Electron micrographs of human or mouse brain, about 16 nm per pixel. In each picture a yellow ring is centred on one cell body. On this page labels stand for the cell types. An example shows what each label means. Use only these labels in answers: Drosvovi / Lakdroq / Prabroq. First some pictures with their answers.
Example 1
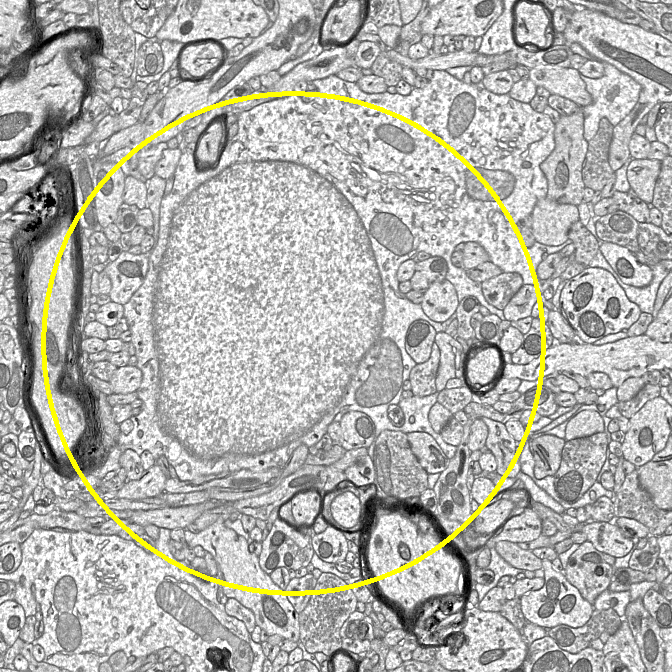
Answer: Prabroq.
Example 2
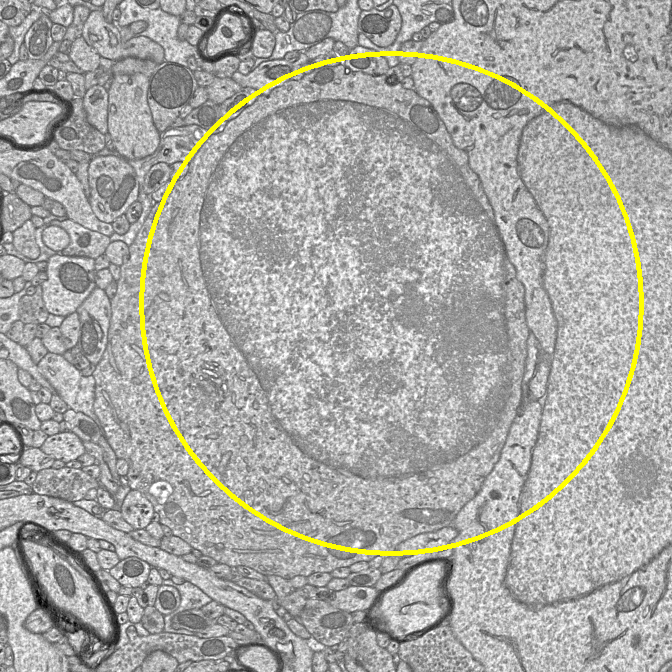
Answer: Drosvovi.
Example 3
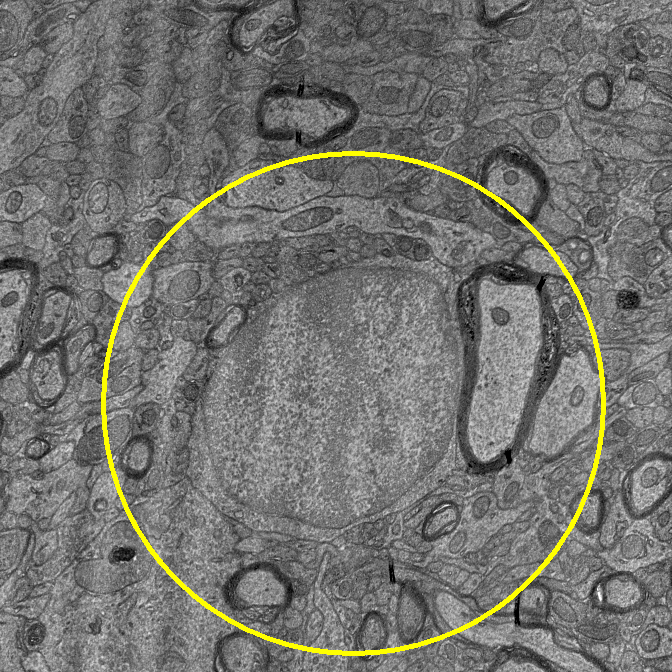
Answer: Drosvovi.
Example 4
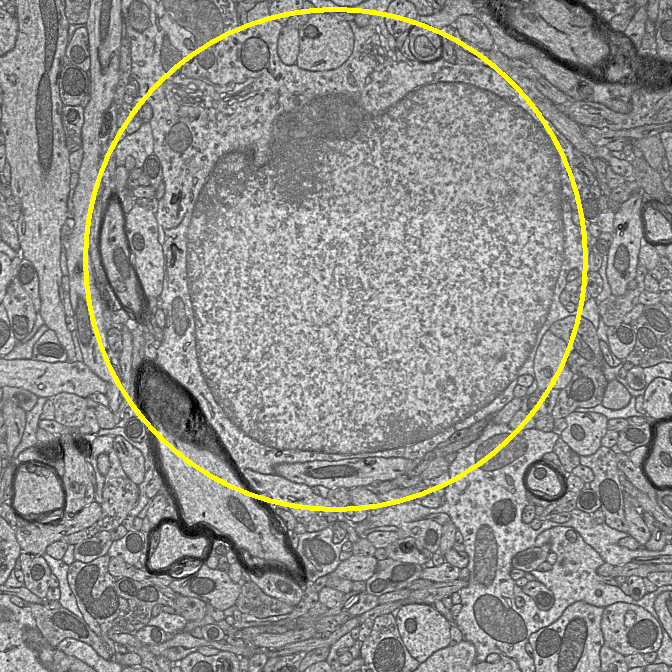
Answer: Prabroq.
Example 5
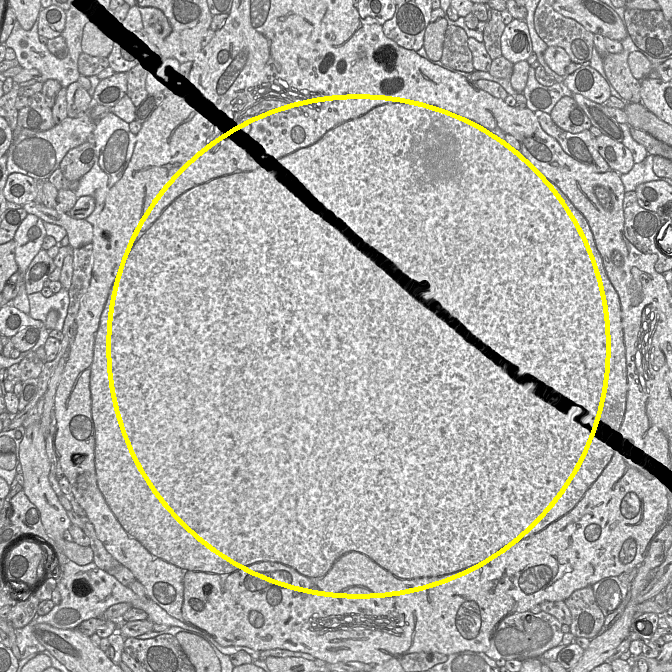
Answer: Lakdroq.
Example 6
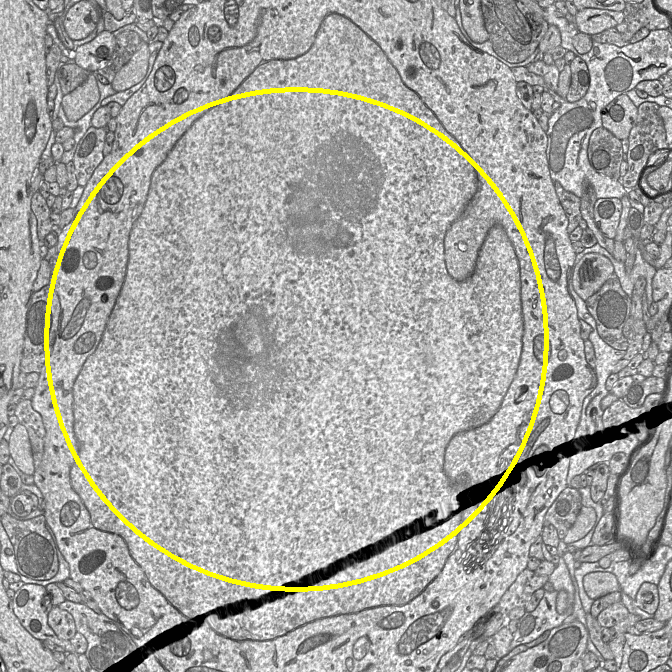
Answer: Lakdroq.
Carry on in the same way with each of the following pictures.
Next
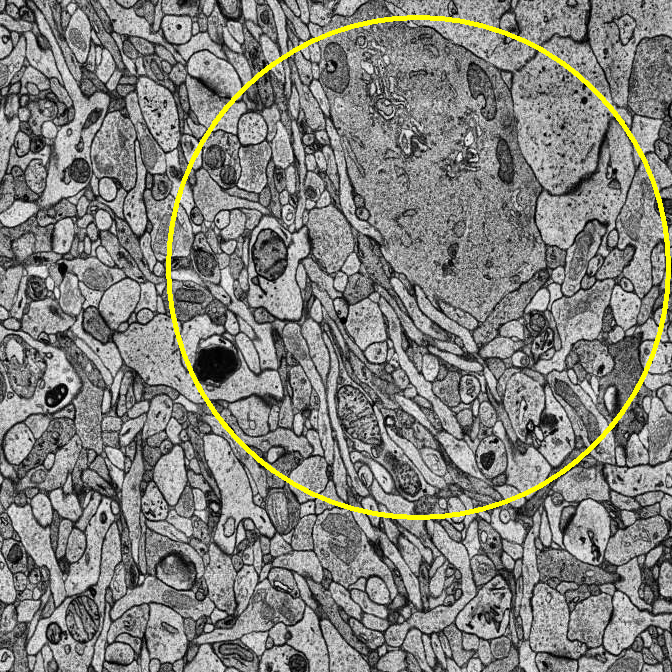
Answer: Drosvovi.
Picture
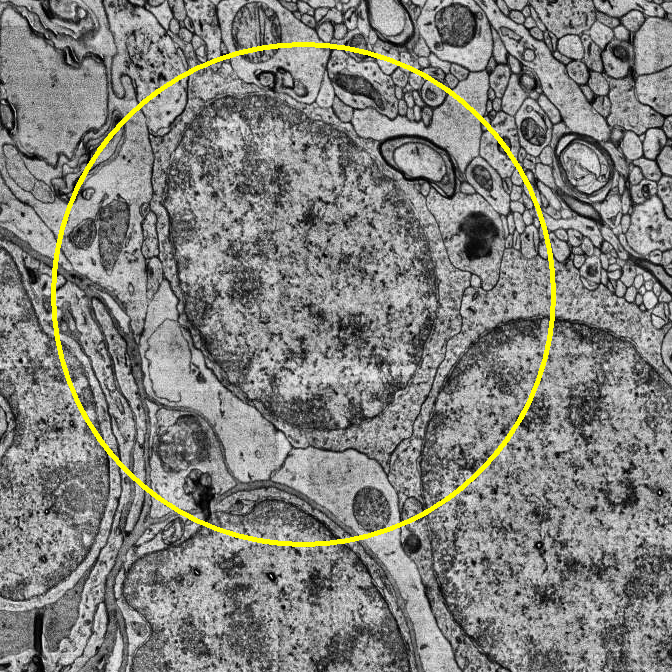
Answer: Drosvovi.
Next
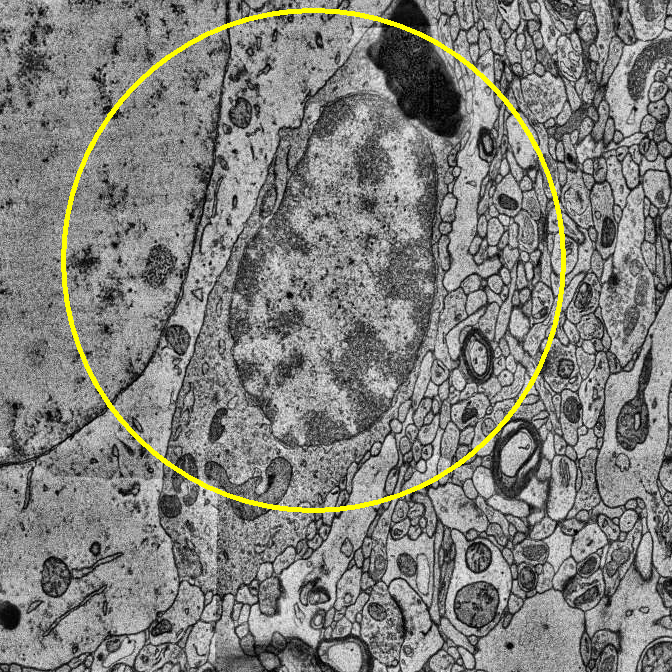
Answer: Drosvovi.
